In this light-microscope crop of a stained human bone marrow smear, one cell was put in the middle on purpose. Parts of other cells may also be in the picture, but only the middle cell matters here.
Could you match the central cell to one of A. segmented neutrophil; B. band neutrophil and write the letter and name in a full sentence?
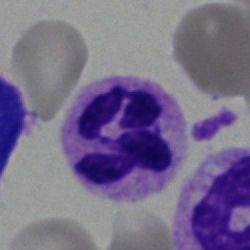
Option A is right, the centrally situated cell being a segmented neutrophil.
